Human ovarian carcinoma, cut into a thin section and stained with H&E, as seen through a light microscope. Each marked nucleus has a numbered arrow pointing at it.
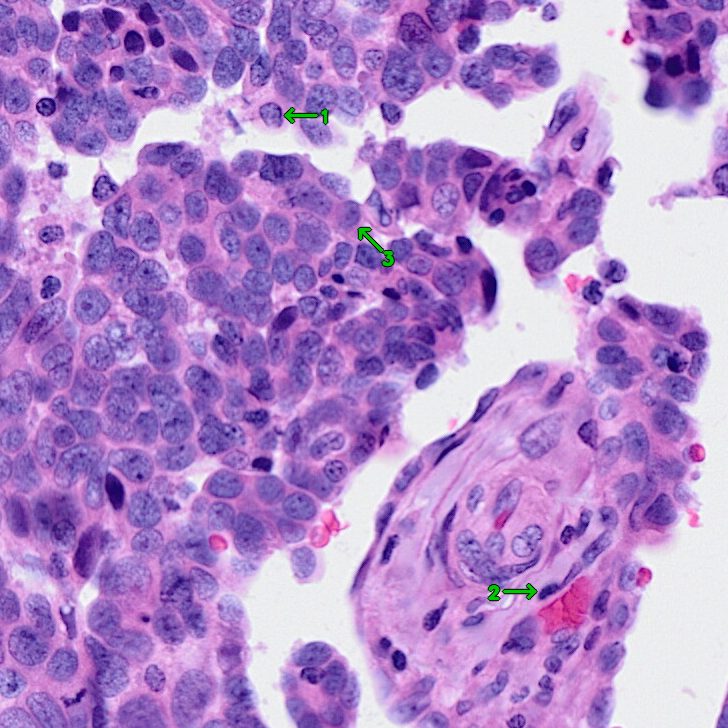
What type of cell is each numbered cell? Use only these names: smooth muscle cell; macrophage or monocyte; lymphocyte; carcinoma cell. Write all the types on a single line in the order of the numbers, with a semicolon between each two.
macrophage or monocyte; lymphocyte; carcinoma cell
